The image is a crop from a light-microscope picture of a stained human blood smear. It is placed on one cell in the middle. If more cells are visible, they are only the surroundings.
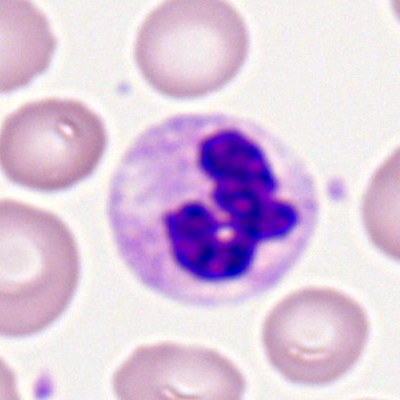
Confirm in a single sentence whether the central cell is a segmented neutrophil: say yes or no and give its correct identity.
Yes, the cell found in the middle is a segmented neutrophil.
